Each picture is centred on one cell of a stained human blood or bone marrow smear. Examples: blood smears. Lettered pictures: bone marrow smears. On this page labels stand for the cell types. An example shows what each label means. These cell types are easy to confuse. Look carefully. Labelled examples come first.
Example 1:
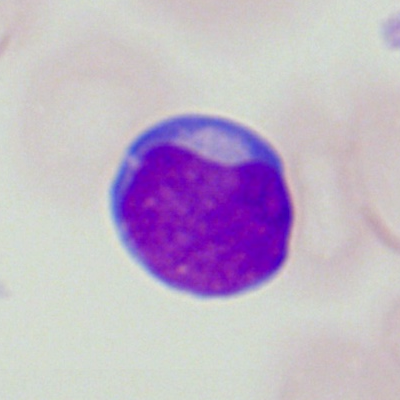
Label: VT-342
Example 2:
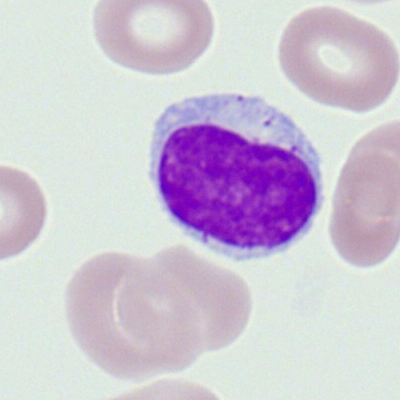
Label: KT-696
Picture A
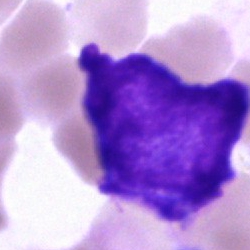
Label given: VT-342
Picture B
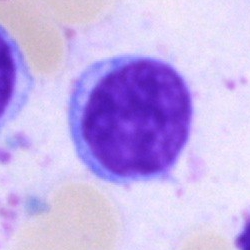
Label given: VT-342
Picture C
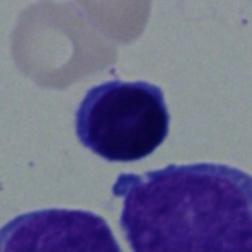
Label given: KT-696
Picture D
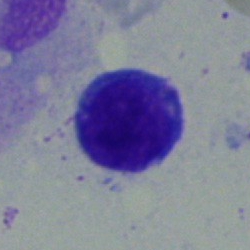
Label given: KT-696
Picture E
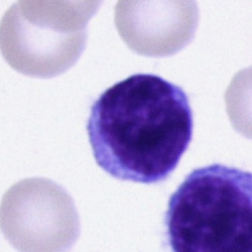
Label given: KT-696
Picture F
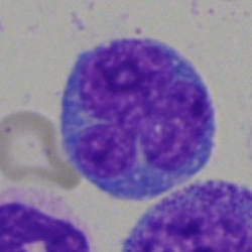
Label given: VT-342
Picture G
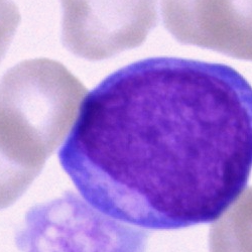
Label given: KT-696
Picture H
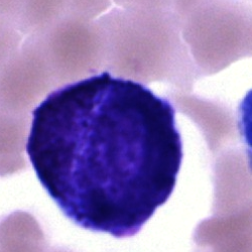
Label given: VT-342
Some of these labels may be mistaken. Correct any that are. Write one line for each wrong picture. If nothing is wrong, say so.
B is labelled VT-342; correct label: KT-696
G is labelled KT-696; correct label: VT-342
